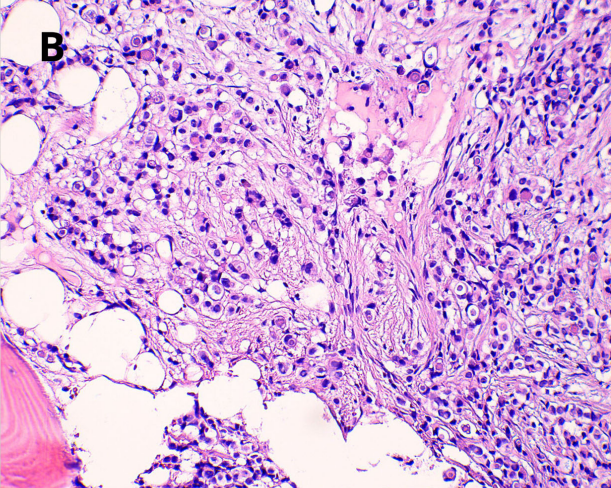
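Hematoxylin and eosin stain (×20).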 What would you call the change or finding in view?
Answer: Signet ring morphology.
